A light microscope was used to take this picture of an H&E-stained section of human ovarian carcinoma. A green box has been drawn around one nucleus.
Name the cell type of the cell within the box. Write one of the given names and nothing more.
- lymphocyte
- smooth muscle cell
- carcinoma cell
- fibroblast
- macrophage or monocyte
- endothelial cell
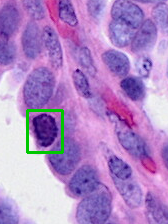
carcinoma cell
